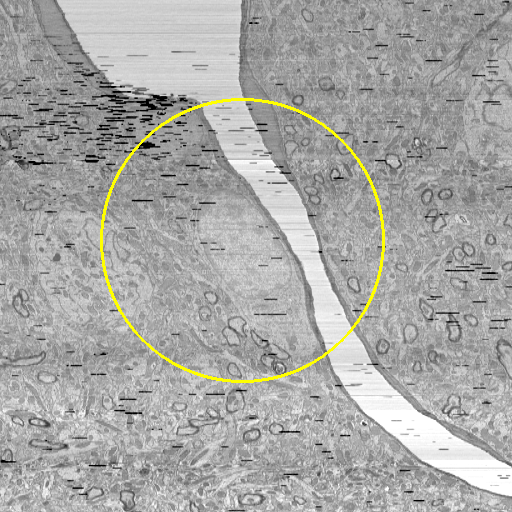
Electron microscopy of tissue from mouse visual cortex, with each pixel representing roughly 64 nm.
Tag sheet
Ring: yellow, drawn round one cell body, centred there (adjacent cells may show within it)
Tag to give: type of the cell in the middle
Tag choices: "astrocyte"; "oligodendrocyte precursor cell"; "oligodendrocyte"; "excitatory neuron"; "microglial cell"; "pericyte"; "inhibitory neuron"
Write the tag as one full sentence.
I tag the cell centred in the yellow ring as an oligodendrocyte in this picture.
